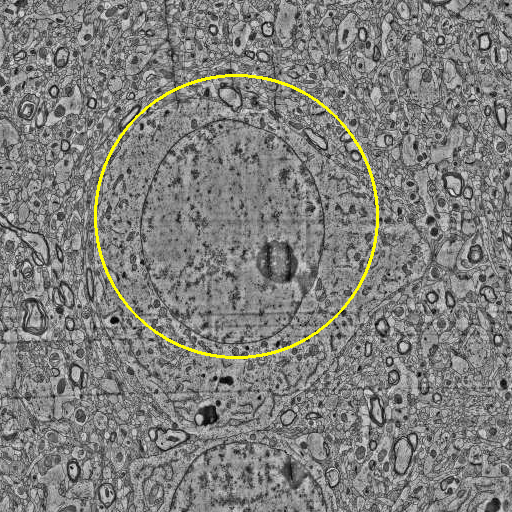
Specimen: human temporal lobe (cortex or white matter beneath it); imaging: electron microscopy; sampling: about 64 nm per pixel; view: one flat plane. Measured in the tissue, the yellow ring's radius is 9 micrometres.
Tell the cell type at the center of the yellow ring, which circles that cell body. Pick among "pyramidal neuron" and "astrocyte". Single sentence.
The ring is centered on the body of a pyramidal neuron.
